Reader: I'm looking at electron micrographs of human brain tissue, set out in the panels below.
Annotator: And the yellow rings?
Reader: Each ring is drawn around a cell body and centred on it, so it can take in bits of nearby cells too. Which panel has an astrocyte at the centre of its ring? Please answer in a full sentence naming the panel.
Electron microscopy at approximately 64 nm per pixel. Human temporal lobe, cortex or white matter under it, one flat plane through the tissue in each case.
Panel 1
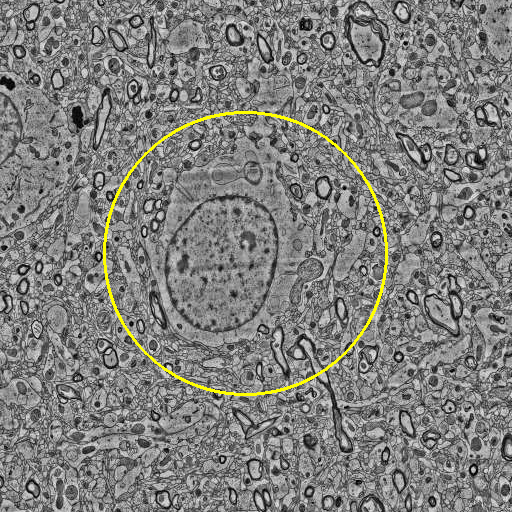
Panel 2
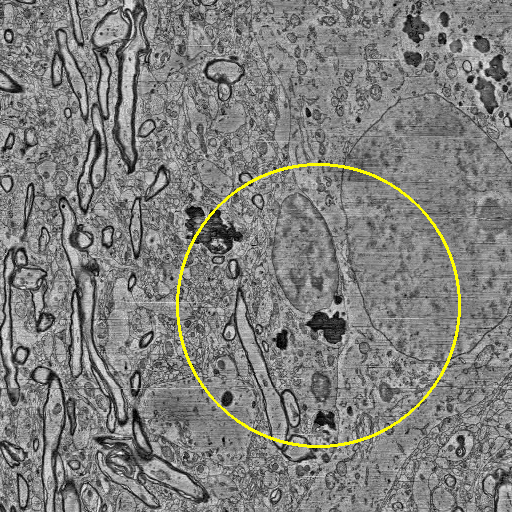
Panel 1 has it at the centre of its ring.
